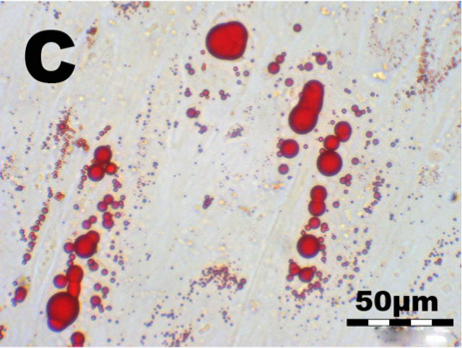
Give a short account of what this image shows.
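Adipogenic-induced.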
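A cultured cell layer in which numerous lipid vacuoles are stained bright red. The droplets vary from fine dots to large round spheres, and several large ones lie close together in chains. They are arranged in streaks that follow the elongated outlines of the cells against a pale, unstained background.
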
